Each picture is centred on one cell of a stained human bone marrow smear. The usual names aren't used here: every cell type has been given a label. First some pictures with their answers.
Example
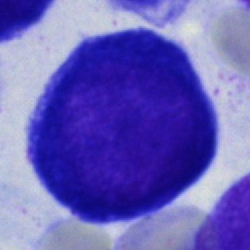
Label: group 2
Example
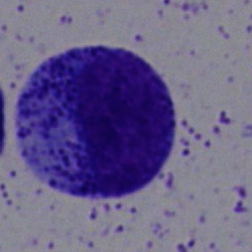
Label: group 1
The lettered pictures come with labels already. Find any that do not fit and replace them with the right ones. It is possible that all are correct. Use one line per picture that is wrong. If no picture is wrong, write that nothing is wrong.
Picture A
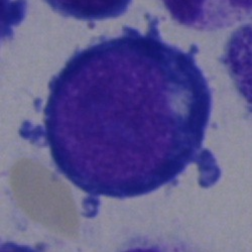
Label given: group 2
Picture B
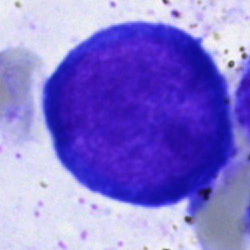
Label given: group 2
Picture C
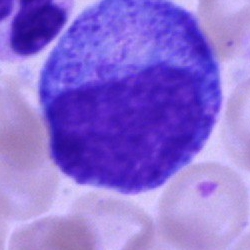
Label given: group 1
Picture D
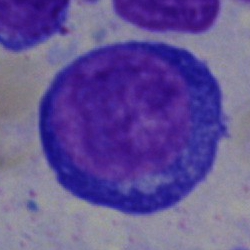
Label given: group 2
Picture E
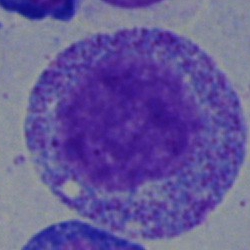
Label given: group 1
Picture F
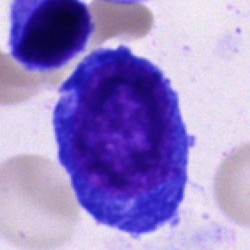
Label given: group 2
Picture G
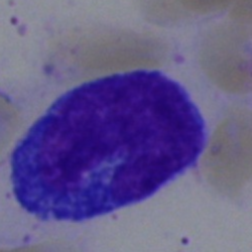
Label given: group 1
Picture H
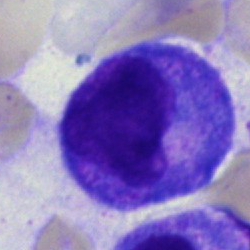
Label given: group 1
None of the labels needs changing.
